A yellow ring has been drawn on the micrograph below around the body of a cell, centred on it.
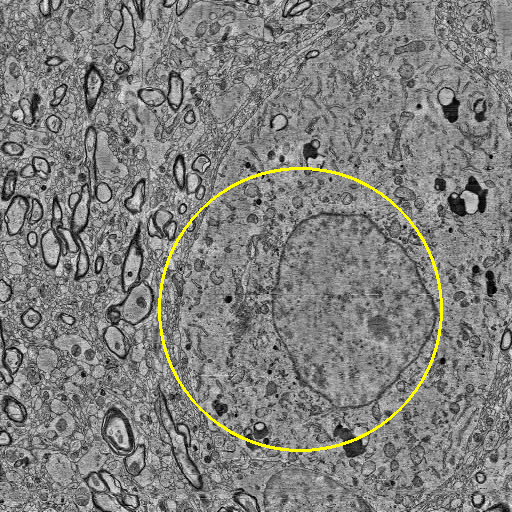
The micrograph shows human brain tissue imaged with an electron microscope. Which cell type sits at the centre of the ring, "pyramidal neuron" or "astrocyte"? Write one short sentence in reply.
The cell sitting at the centre of the ring is a pyramidal neuron.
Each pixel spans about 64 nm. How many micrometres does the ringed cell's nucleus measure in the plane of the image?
In this plane, the nucleus of the cell at the centre of the ring measures about 13 by 10 micrometres.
